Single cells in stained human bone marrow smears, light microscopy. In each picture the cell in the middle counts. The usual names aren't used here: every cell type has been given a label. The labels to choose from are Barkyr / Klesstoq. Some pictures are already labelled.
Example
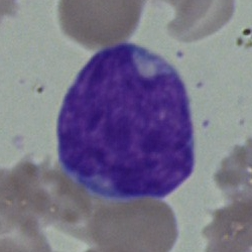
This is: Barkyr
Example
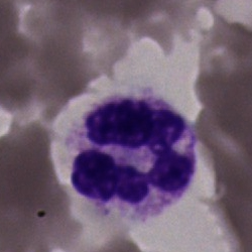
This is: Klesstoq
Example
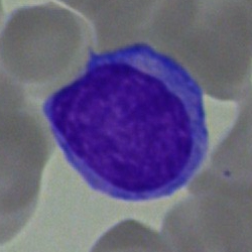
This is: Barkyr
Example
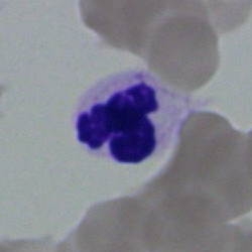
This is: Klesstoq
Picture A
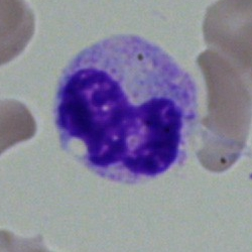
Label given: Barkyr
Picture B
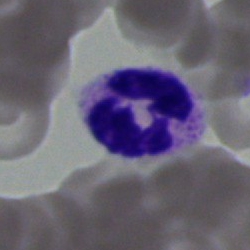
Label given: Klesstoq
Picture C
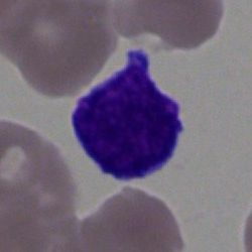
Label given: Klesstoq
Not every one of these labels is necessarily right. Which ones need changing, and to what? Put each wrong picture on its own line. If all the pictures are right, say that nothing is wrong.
A: Klesstoq, not Barkyr
C: Barkyr, not Klesstoq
